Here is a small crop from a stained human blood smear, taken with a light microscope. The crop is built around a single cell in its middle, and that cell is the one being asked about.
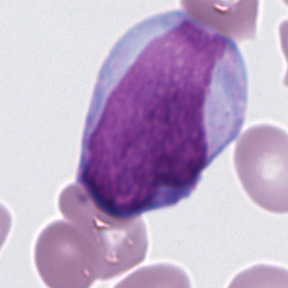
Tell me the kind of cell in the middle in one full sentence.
The cell at the middle of the frame should be recorded as an atypical promyelocyte.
